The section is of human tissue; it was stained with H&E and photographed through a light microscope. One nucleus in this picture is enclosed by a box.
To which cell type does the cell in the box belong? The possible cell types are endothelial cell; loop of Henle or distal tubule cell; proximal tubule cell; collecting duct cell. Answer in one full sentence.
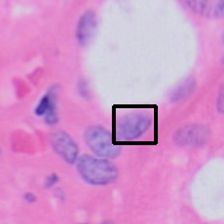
Assigned to a cell type, the cell in the box is a collecting duct cell.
